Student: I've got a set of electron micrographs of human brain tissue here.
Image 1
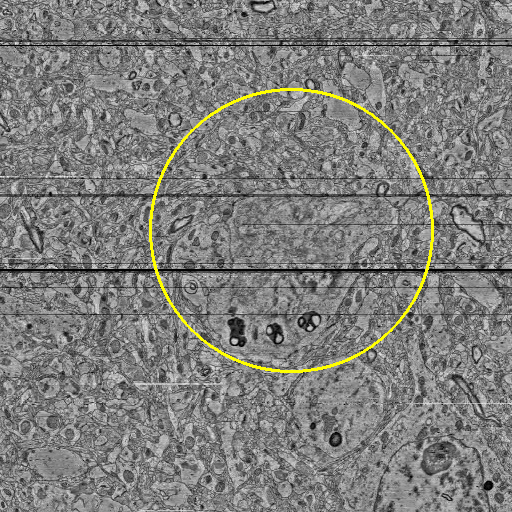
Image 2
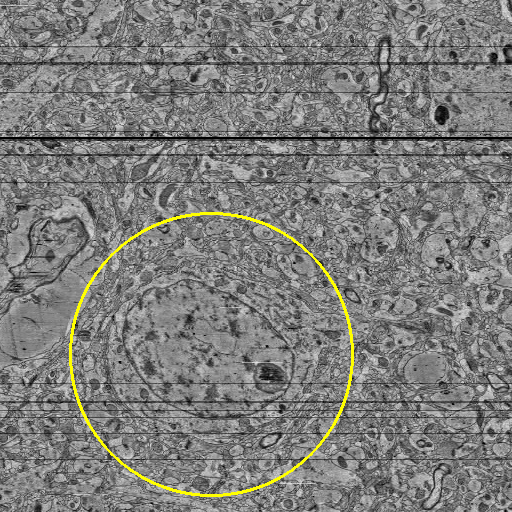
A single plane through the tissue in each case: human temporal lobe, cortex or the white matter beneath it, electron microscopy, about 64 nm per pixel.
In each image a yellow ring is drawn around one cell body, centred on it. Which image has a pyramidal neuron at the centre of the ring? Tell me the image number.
2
